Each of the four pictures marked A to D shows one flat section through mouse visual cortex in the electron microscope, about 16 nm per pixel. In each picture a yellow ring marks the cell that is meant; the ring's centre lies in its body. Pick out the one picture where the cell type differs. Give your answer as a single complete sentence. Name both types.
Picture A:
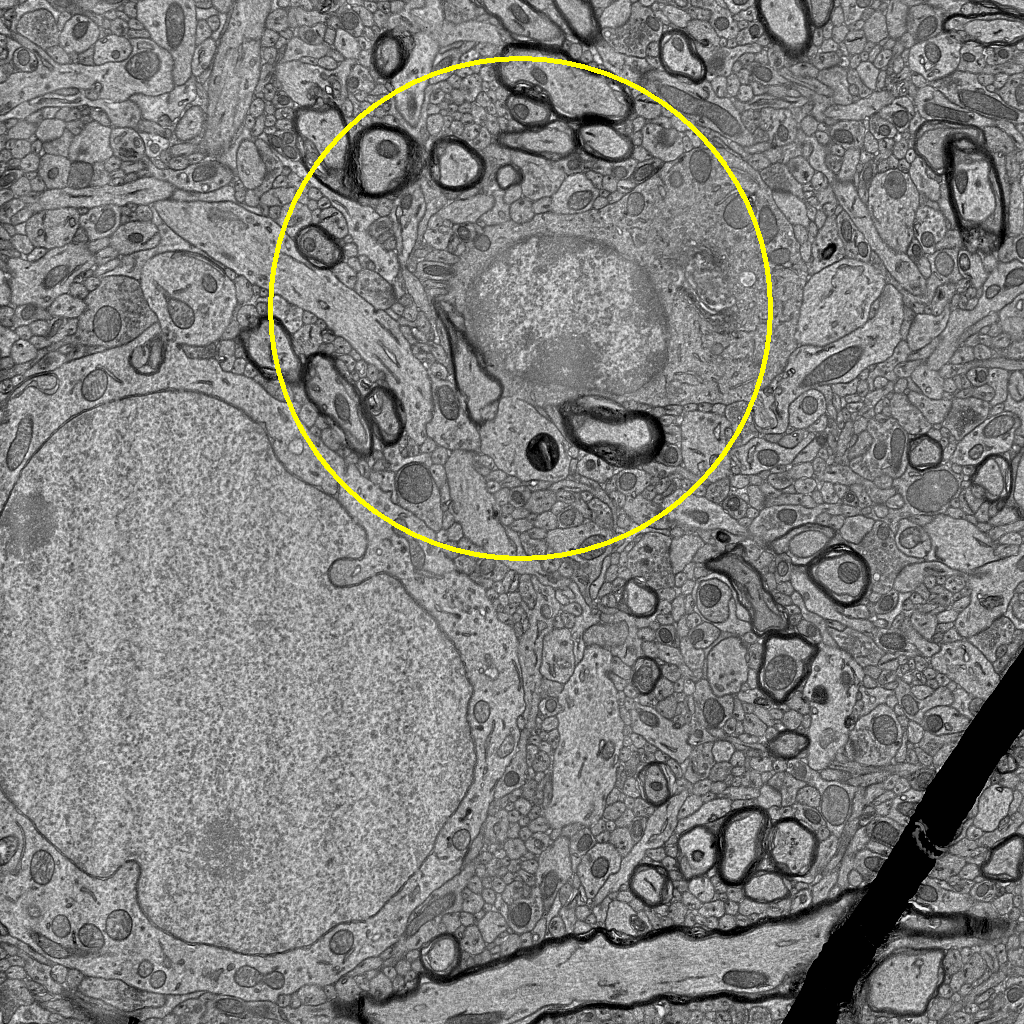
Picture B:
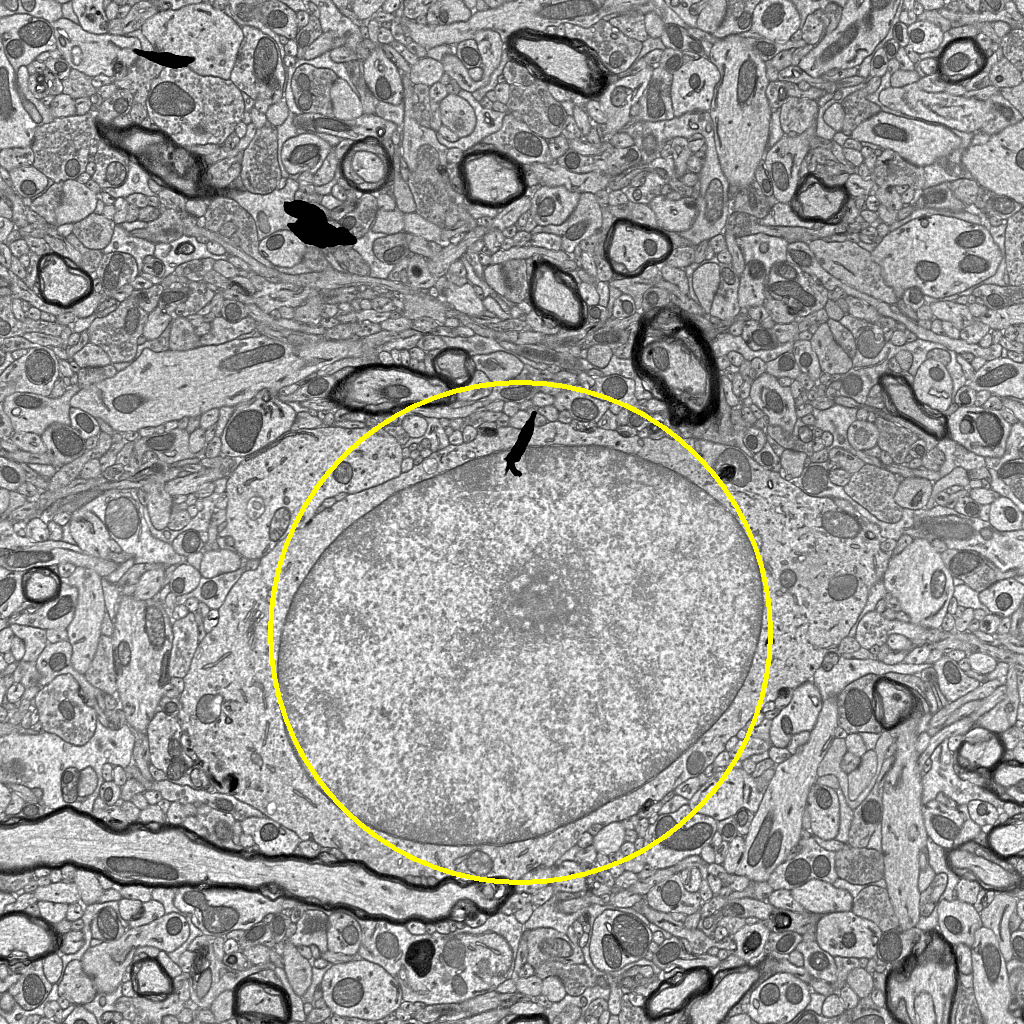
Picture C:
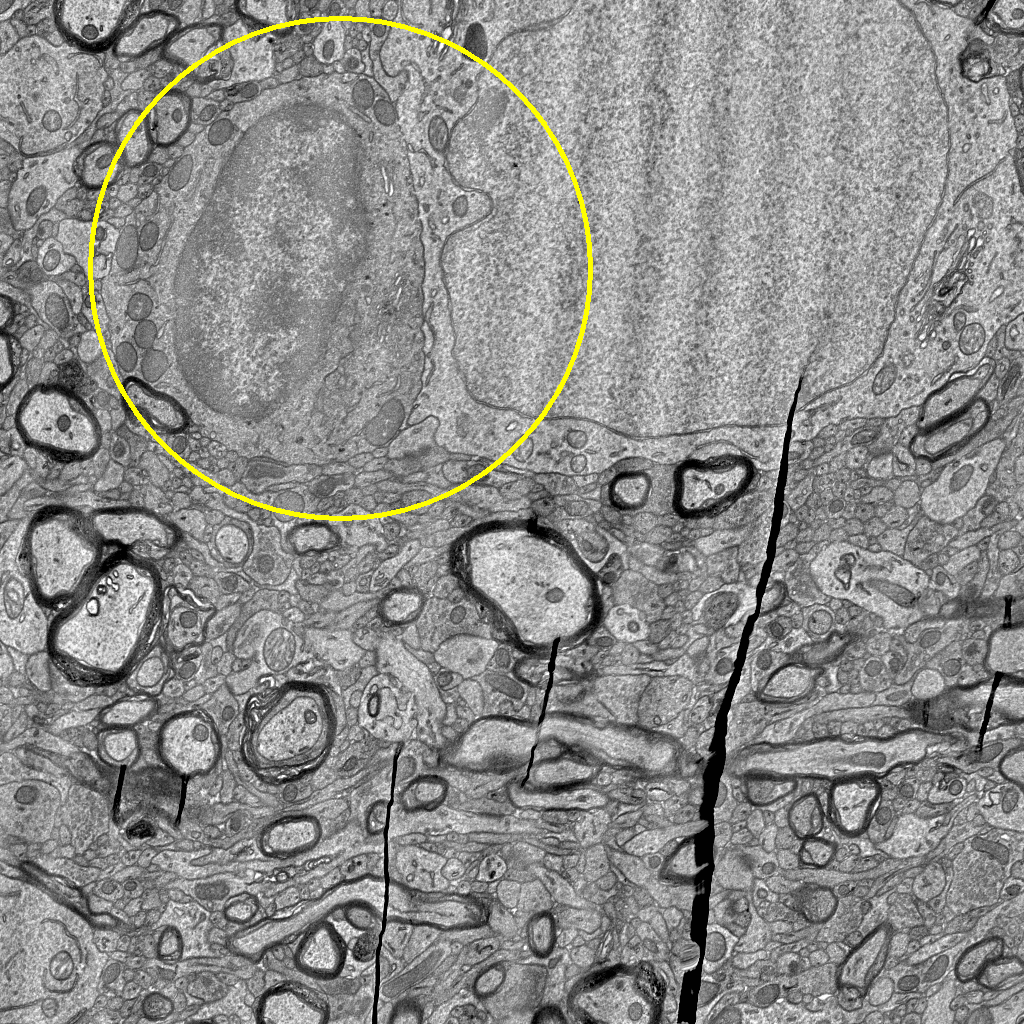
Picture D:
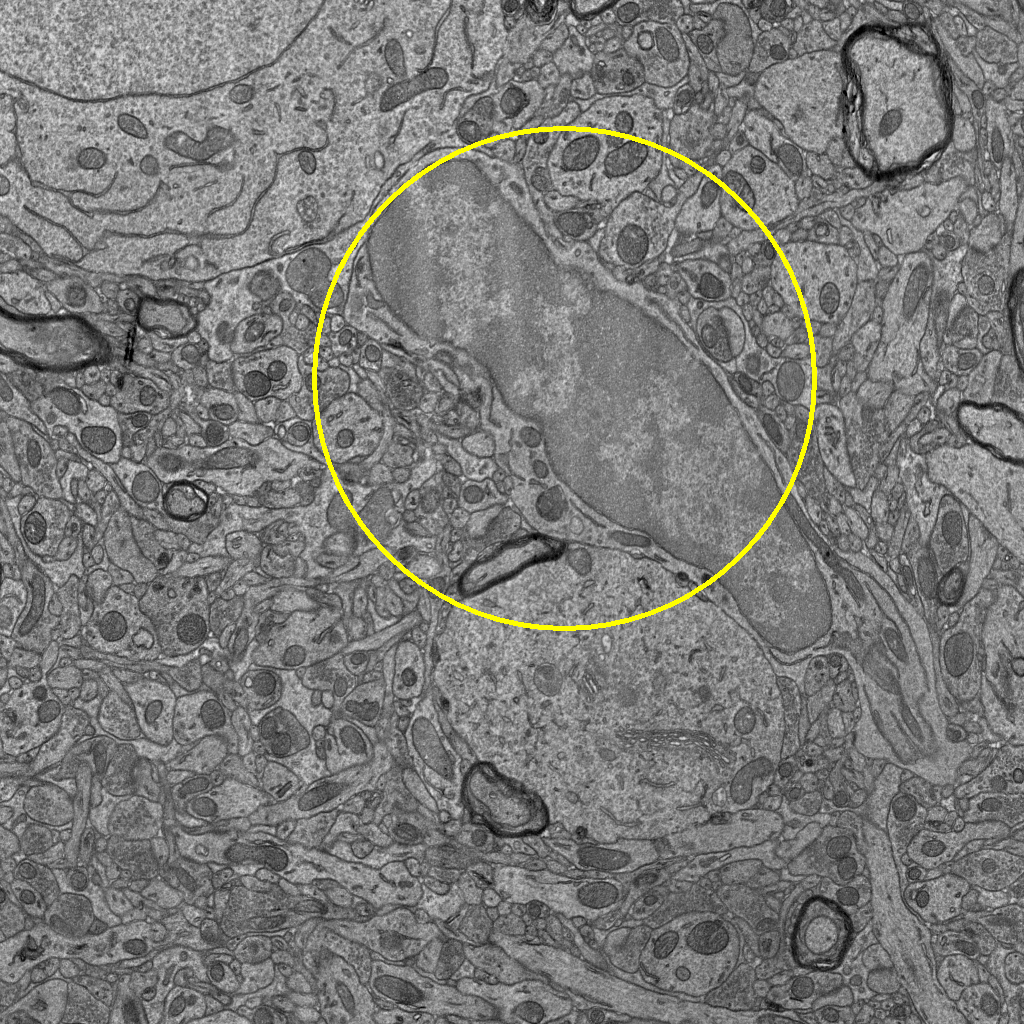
Unlike the rest, which show oligodendrocytes, picture D shows a microglial cell.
